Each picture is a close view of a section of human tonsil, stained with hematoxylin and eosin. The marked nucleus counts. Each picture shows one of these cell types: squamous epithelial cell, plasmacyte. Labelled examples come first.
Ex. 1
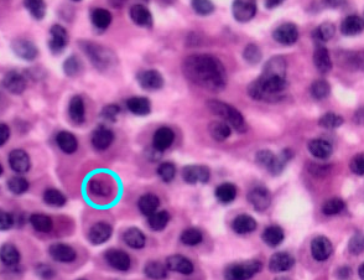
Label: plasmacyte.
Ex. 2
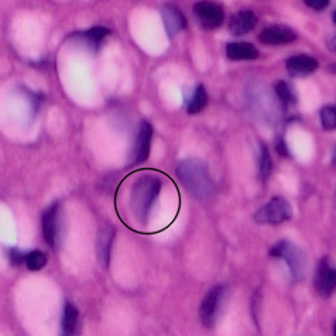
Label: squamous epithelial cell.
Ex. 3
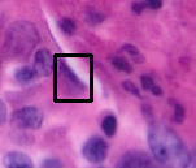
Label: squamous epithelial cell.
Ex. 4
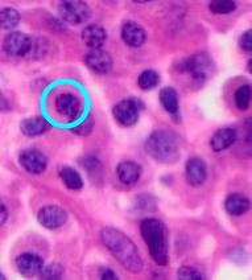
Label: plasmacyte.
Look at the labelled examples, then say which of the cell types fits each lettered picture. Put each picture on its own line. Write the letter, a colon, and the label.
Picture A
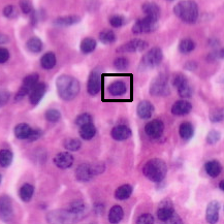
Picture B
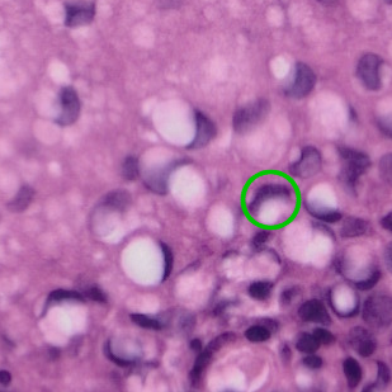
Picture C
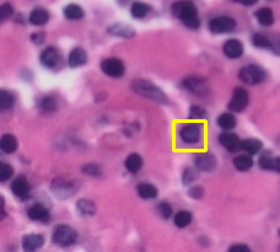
A: plasmacyte.
B: squamous epithelial cell.
C: plasmacyte.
